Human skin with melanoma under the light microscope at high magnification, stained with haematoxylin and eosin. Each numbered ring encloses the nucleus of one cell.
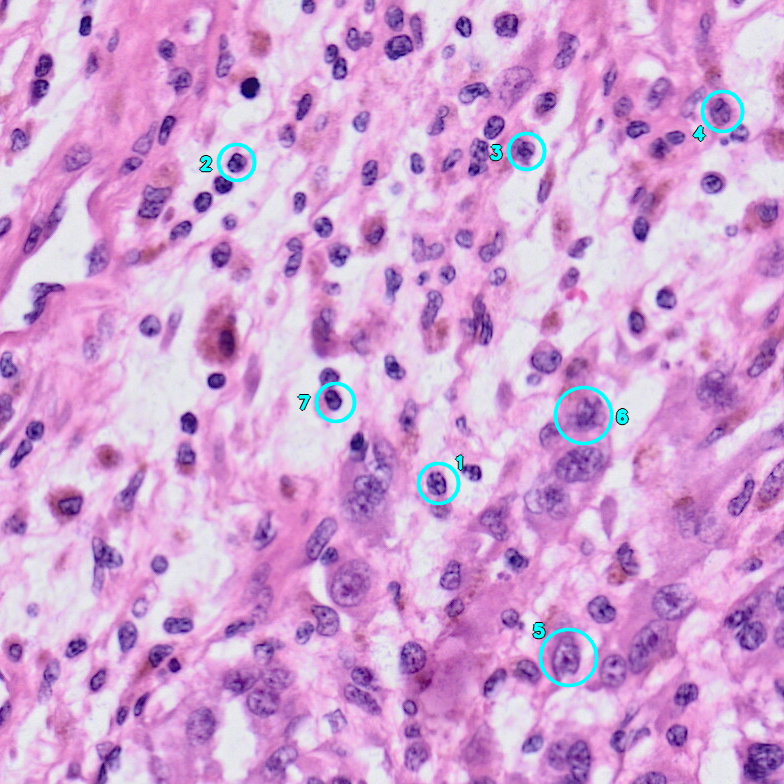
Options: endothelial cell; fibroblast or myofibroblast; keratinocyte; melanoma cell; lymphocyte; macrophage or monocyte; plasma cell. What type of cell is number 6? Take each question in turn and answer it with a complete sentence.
Marked with the number 6, this cell is a melanoma cell.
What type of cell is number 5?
Marked with the number 5, this cell is a melanoma cell.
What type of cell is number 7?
The cell numbered 7 has been identified as a lymphocyte.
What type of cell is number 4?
The nucleus labeled 4 belongs to a macrophage or monocyte.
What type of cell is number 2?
Heads up, the cell numbered 2 is a lymphocyte.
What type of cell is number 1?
The cell indicated with the number 1 is classed as a lymphocyte.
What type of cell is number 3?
Cell 3 in the field is a macrophage or monocyte.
